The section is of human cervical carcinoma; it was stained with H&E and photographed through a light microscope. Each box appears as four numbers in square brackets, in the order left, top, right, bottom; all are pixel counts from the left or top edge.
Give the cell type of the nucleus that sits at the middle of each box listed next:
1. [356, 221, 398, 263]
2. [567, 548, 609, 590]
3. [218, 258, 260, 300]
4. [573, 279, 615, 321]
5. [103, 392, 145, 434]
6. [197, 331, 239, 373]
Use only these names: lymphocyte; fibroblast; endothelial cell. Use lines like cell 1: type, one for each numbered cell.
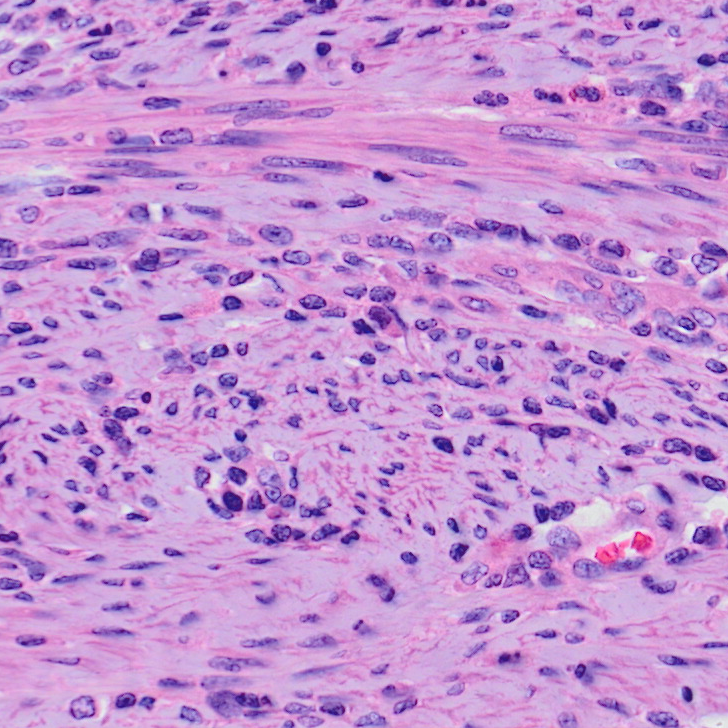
cell 1: endothelial cell
cell 2: endothelial cell
cell 3: lymphocyte
cell 4: endothelial cell
cell 5: lymphocyte
cell 6: lymphocyte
